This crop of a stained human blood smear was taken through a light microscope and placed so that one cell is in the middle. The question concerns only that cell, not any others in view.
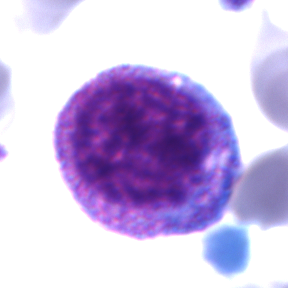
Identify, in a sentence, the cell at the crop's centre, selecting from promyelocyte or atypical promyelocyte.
The middle position in this crop is taken by a promyelocyte.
